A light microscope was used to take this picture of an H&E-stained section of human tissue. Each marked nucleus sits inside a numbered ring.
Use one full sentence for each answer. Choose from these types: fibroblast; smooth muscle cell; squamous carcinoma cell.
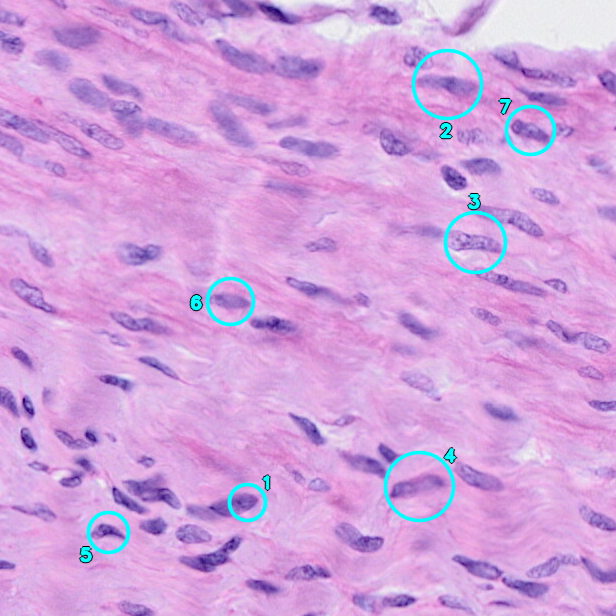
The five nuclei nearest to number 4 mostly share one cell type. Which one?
Of the five nuclei nearest to number 4, most belong to fibroblasts.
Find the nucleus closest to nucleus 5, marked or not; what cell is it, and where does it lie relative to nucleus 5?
Lying above and to the right of nucleus 5, the nearest nucleus is that of a fibroblast.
